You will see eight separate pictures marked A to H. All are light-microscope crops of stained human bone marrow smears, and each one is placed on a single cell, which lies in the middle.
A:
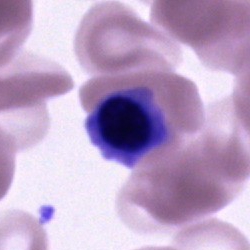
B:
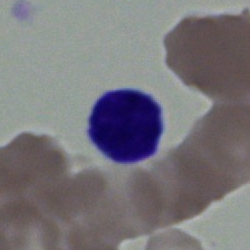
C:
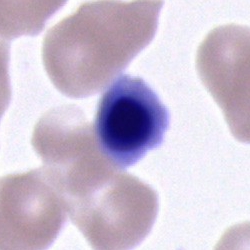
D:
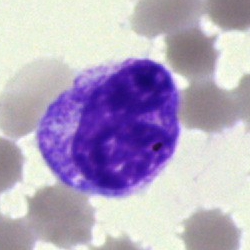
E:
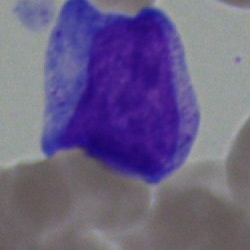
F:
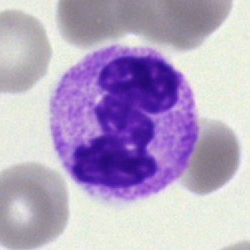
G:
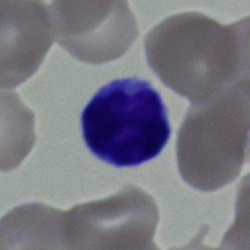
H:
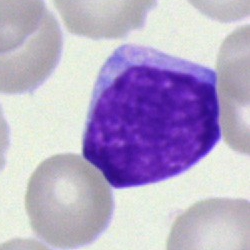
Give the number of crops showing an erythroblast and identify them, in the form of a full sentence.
Crops with erythroblasts come to two, specifically A and C.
